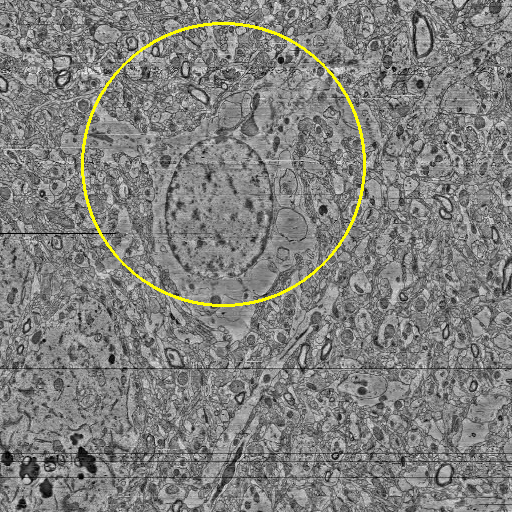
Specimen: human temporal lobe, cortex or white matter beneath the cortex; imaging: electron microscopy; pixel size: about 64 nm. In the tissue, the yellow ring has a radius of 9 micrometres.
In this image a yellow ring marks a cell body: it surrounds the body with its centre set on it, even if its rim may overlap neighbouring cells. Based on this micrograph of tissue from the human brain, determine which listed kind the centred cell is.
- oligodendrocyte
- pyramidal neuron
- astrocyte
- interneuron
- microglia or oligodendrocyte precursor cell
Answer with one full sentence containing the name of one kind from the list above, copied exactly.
It is an astrocyte whose body the yellow ring encloses at its centre.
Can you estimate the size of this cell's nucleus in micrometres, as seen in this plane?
About 10 micrometres by about 7 micrometres in this plane.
